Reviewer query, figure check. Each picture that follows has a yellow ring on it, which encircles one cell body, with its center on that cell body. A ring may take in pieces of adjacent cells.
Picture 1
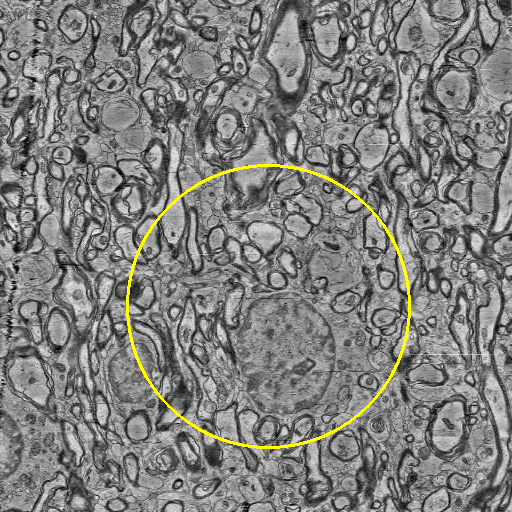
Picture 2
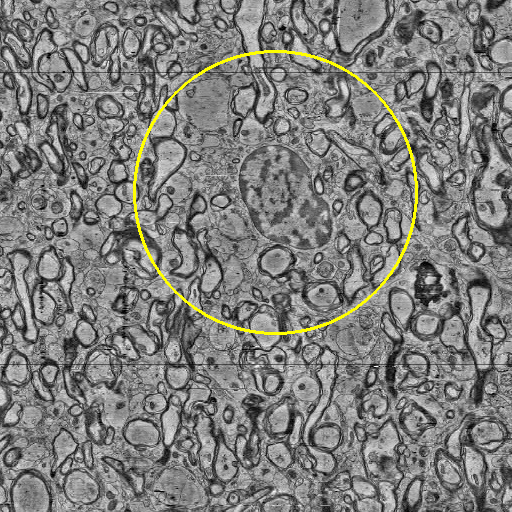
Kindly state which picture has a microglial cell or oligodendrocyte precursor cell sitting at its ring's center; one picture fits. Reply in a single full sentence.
In picture 2, the cell at the center of the ring is the requested one.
